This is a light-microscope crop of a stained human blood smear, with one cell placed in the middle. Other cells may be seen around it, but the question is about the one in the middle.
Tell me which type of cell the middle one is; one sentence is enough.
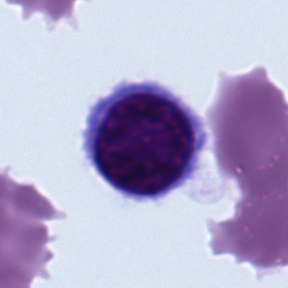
Where the crop is centred, there is a hairy cell.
